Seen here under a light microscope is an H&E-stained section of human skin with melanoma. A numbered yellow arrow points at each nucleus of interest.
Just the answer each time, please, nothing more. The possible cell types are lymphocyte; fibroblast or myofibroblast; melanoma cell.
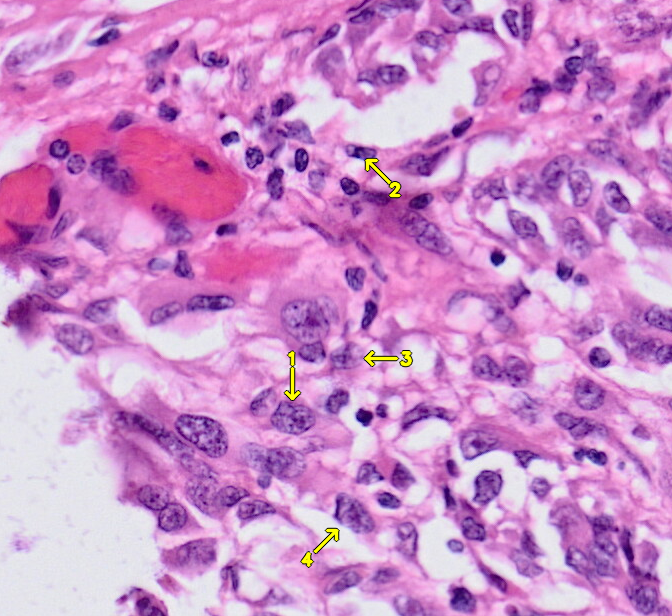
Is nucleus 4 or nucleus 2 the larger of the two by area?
4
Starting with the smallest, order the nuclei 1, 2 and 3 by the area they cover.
2, 3, 1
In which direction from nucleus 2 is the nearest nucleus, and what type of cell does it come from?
a lymphocyte below nucleus 2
